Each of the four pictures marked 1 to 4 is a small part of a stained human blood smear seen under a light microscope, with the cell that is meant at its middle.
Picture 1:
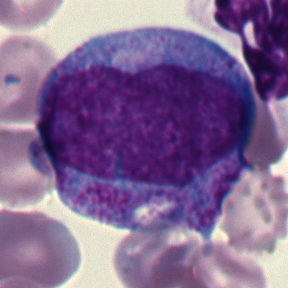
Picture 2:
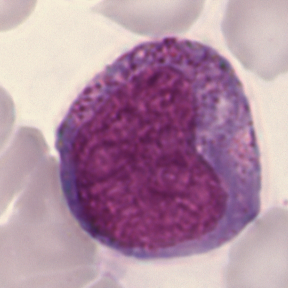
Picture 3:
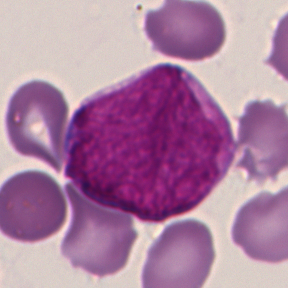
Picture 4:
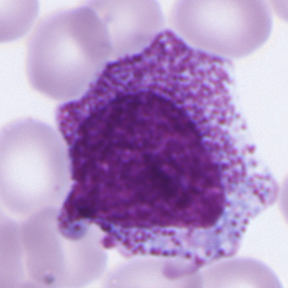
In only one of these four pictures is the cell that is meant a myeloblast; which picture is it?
3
